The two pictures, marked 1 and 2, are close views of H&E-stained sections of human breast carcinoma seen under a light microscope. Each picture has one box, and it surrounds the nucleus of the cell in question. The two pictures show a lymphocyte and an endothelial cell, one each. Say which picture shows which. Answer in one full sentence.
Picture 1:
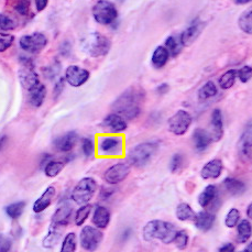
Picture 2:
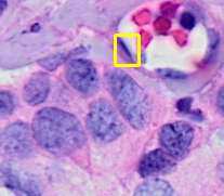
It is picture 1 that shows a lymphocyte, and picture 2 that shows an endothelial cell.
